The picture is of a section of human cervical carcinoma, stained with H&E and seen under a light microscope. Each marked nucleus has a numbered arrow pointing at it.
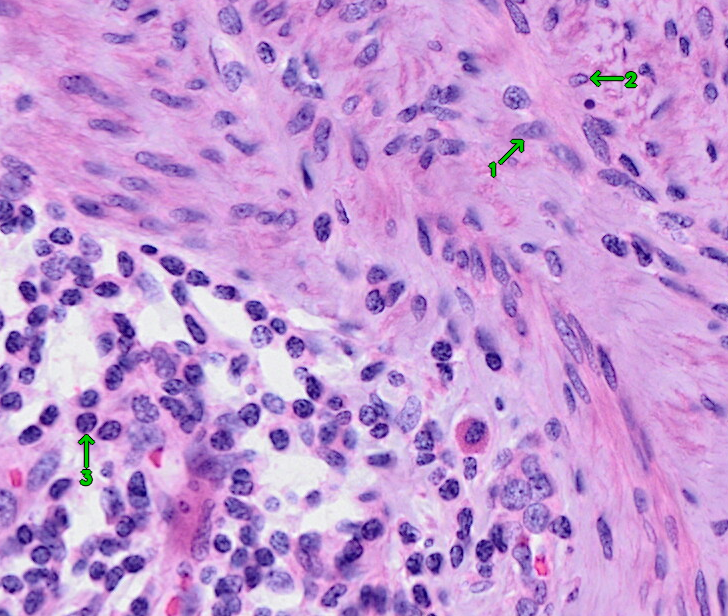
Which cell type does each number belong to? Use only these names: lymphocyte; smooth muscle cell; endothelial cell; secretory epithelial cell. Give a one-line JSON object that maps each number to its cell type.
{"1": "smooth muscle cell", "2": "smooth muscle cell", "3": "lymphocyte"}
